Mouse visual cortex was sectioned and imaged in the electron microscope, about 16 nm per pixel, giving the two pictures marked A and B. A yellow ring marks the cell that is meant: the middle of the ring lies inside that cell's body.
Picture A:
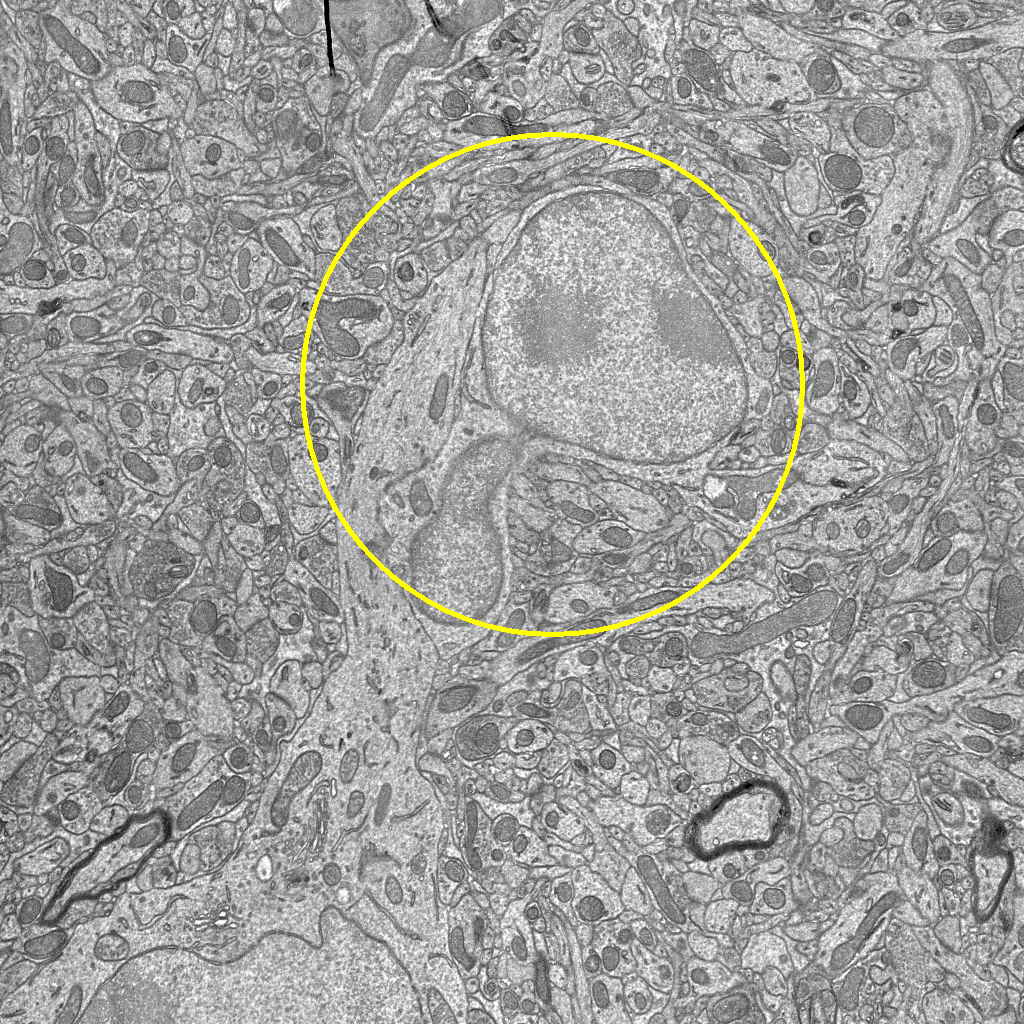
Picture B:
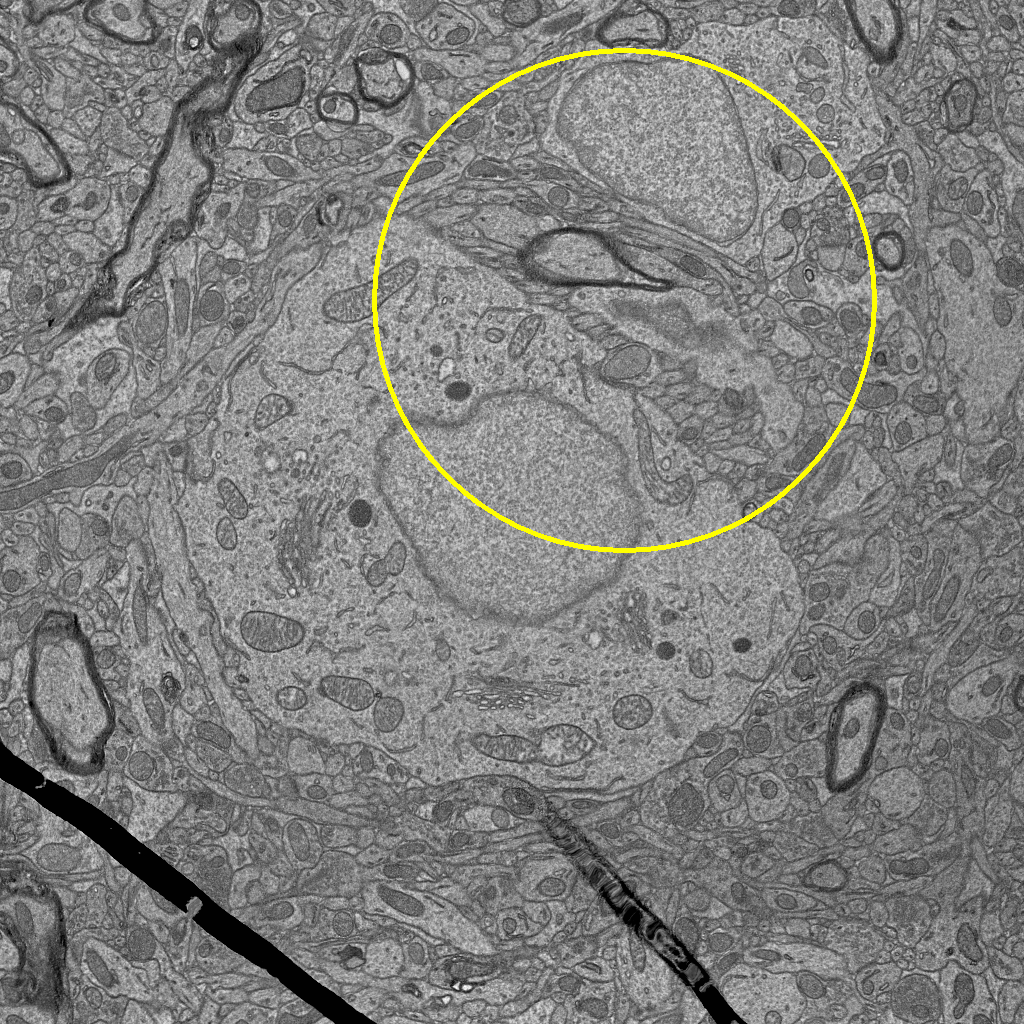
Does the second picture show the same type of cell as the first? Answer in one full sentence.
Yes, both are oligodendrocyte precursor cells.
